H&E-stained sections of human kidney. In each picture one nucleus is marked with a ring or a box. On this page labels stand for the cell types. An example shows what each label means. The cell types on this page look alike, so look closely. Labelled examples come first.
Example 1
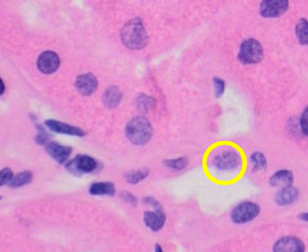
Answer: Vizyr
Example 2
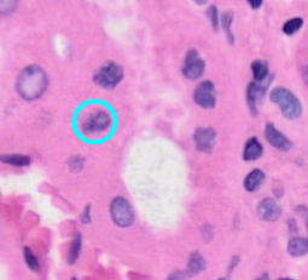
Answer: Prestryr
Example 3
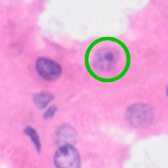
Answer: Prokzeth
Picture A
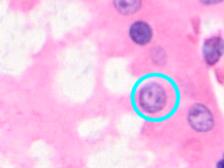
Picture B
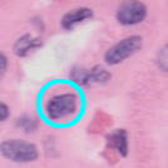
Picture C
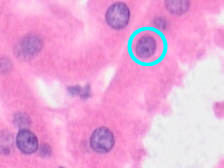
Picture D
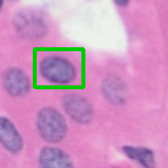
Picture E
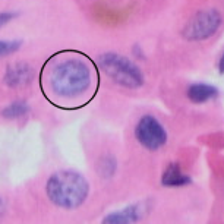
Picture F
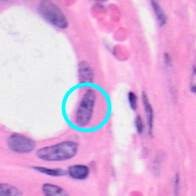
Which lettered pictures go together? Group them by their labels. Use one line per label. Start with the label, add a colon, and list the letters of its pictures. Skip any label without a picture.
Vizyr: B, F
Prestryr: D, E
Prokzeth: A, C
